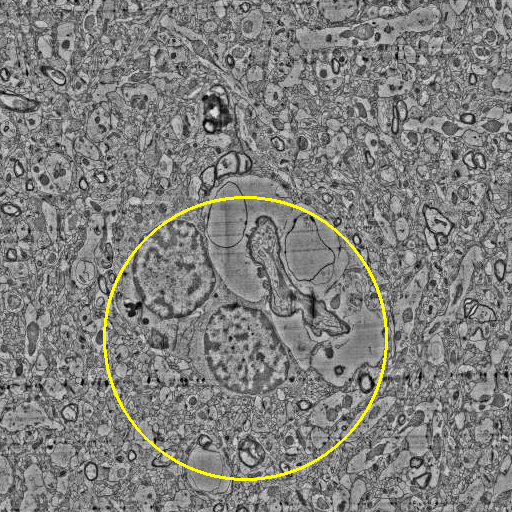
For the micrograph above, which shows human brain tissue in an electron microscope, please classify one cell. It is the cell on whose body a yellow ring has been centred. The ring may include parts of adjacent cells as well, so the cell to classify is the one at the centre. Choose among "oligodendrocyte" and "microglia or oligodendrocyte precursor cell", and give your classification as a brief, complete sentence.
I classify this cell as an oligodendrocyte.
